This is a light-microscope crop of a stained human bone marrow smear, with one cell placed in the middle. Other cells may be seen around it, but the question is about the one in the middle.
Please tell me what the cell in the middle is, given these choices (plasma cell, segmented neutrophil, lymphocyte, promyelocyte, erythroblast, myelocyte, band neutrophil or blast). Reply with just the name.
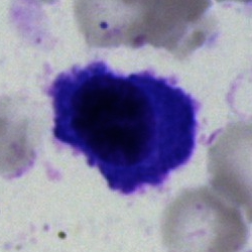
plasma cell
